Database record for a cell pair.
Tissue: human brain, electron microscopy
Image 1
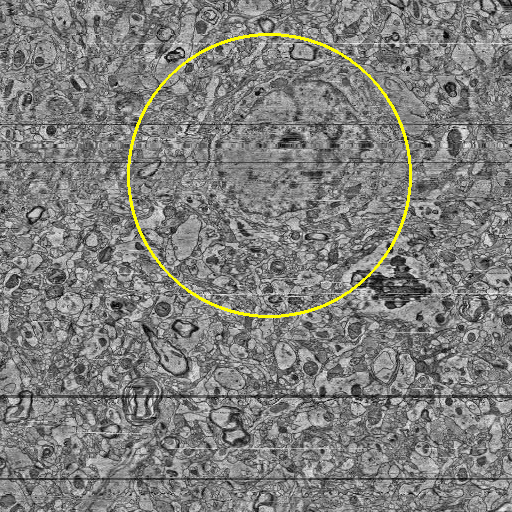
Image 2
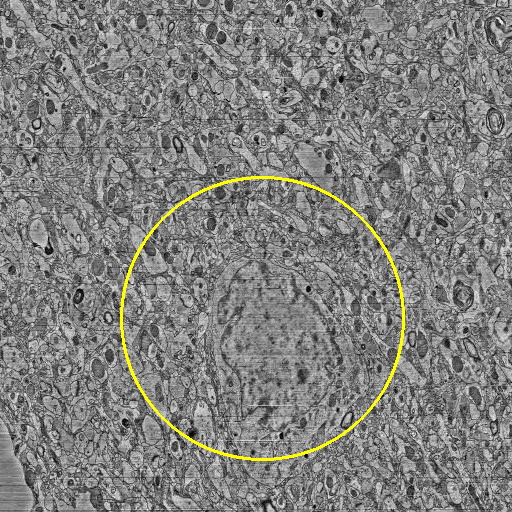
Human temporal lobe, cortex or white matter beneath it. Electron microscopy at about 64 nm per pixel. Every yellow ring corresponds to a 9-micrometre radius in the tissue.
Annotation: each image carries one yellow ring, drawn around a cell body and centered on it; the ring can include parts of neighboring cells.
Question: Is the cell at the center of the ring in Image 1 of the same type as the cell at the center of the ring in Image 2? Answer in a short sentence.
Yes, the cells are of the same type.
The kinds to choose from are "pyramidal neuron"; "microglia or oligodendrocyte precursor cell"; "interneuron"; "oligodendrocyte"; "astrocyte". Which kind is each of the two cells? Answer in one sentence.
Each cell, in the first picture and the second, is an interneuron.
